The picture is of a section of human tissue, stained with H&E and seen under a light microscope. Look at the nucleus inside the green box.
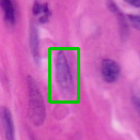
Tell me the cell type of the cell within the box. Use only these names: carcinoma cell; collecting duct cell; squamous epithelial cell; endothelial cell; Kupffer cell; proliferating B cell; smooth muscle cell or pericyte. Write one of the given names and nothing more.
endothelial cell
